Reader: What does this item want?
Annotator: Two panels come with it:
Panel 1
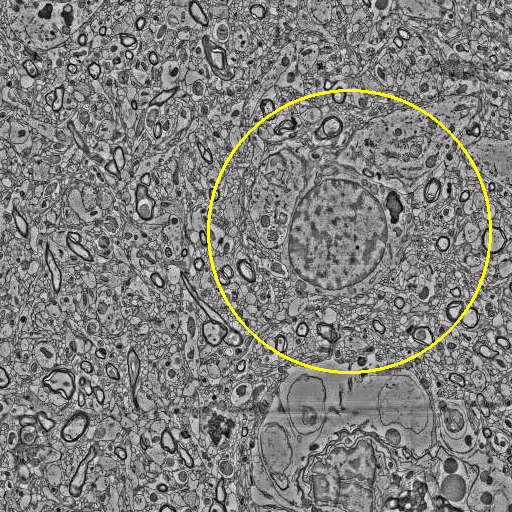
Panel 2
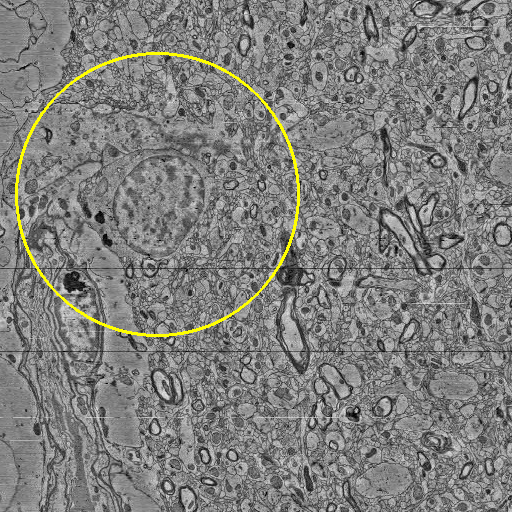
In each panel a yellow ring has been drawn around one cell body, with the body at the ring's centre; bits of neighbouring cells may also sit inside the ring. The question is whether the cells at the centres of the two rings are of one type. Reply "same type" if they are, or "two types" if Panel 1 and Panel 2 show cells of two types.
same type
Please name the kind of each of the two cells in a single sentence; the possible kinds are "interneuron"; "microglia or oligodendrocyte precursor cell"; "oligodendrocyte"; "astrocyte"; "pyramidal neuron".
The cell in the first picture is an oligodendrocyte, and so is the one in the second.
